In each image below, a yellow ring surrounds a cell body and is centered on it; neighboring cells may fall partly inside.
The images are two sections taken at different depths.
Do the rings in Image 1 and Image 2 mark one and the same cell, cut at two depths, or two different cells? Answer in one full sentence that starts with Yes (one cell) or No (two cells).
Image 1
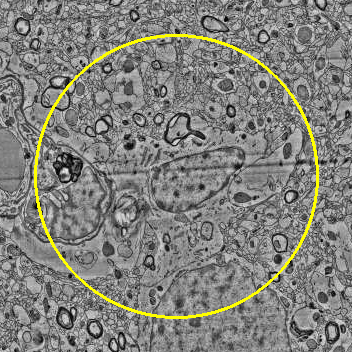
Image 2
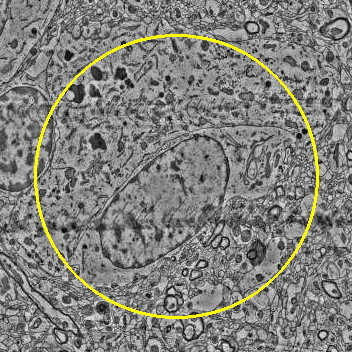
No, the two rings were placed on two different cells.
